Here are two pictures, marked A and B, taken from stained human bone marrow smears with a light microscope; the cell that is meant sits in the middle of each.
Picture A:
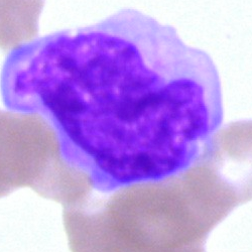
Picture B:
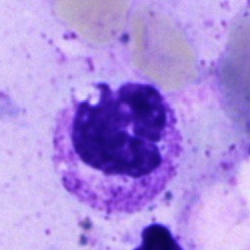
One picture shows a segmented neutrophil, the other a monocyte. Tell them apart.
A: monocyte
B: segmented neutrophil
